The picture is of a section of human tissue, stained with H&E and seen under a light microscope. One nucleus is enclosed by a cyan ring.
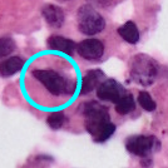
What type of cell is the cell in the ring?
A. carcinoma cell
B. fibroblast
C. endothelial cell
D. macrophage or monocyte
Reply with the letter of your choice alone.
D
